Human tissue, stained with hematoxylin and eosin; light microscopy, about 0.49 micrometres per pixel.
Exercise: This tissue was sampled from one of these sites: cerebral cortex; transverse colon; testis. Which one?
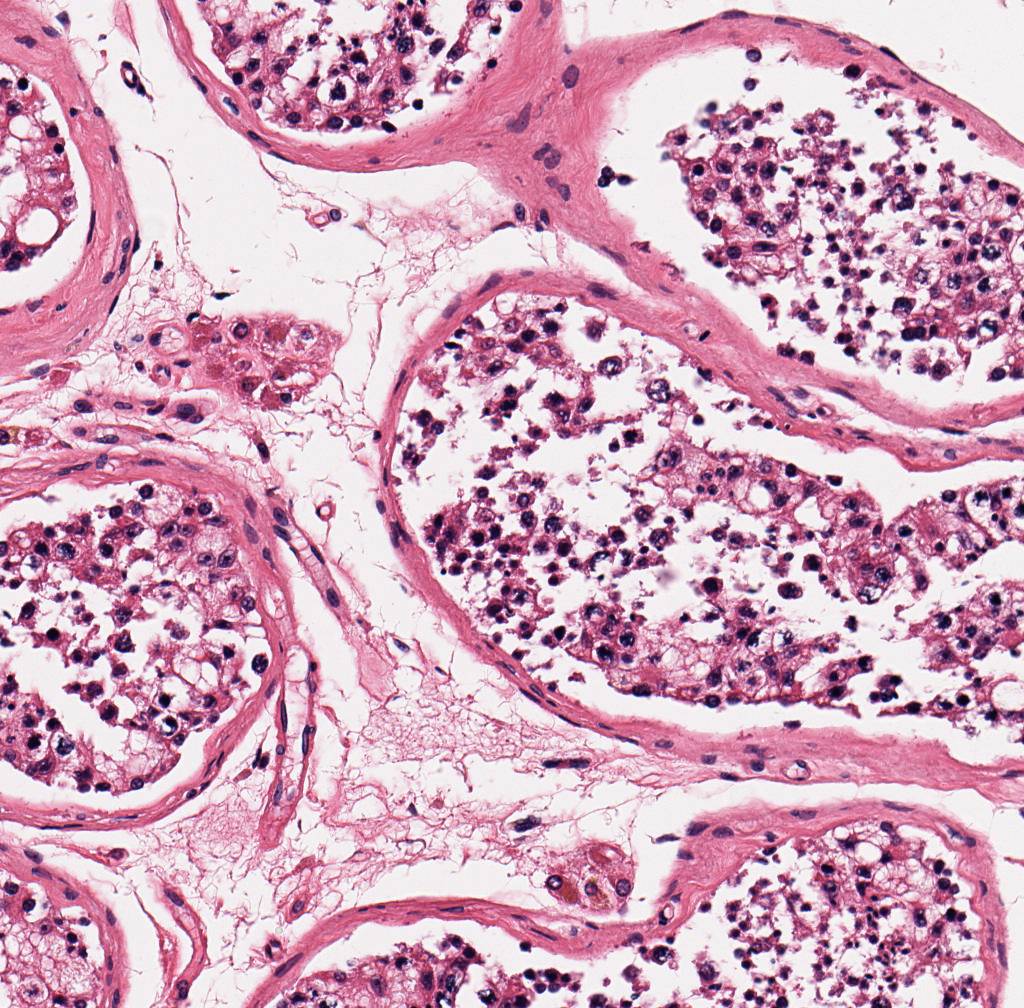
testis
